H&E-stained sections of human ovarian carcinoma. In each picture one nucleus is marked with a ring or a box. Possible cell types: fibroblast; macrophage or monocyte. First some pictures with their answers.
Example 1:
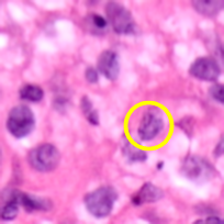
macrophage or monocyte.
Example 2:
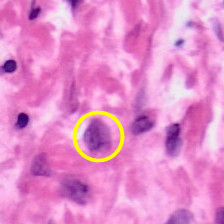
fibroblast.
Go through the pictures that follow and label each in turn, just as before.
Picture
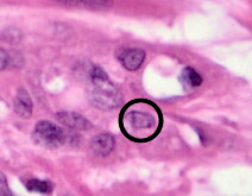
macrophage or monocyte.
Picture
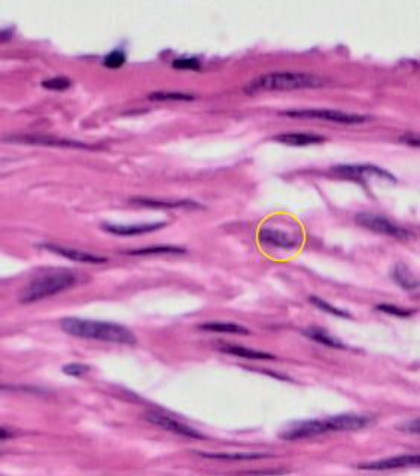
fibroblast.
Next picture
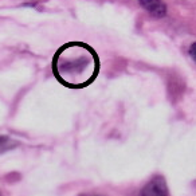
fibroblast.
